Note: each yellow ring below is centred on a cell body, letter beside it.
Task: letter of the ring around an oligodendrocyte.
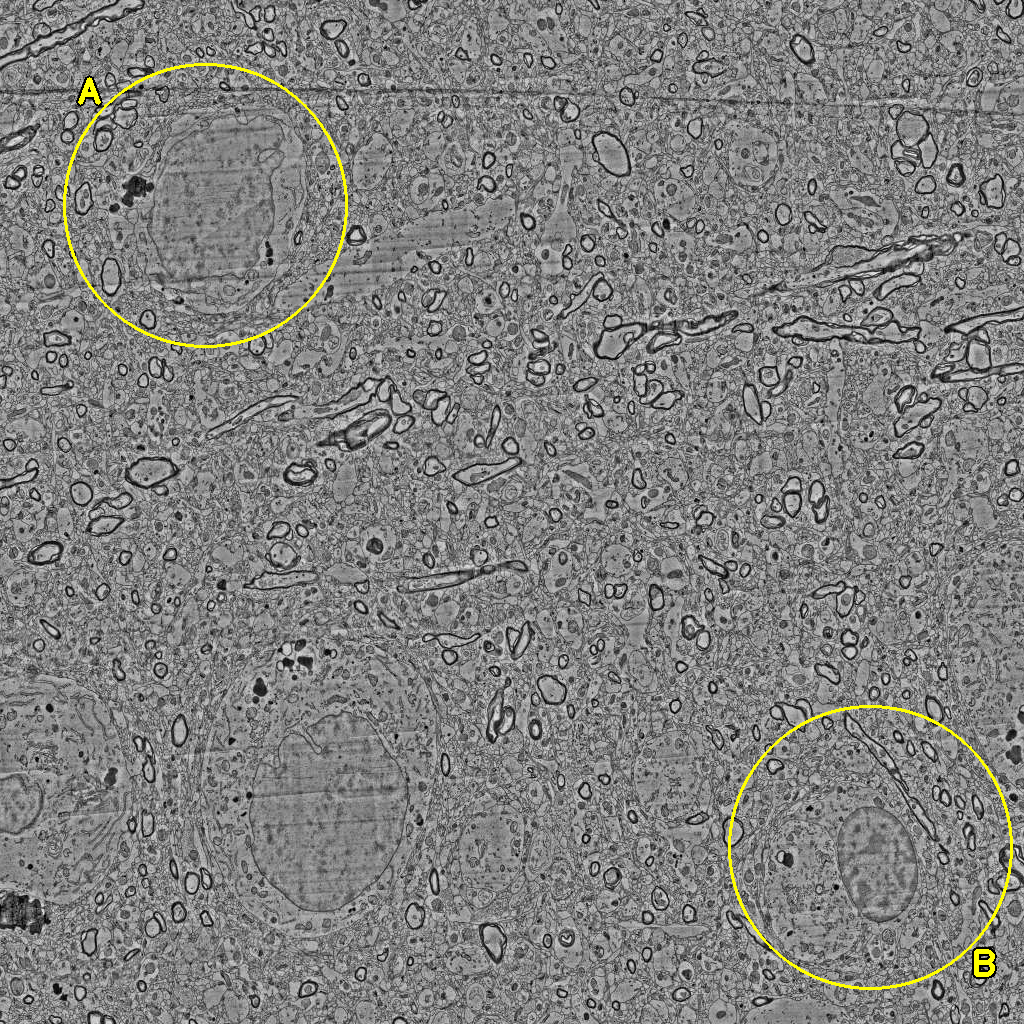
B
